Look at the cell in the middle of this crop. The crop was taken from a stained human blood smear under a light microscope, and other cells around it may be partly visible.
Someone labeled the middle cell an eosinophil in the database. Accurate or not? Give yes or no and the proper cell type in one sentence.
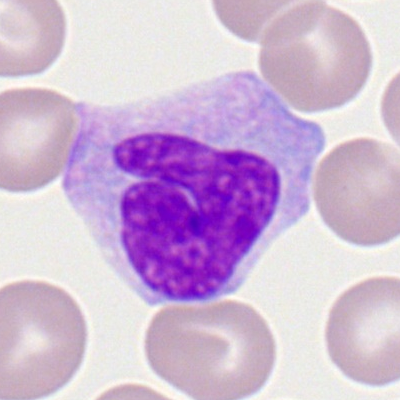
No, the cell at the center of this crop is a monocyte instead of an eosinophil.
